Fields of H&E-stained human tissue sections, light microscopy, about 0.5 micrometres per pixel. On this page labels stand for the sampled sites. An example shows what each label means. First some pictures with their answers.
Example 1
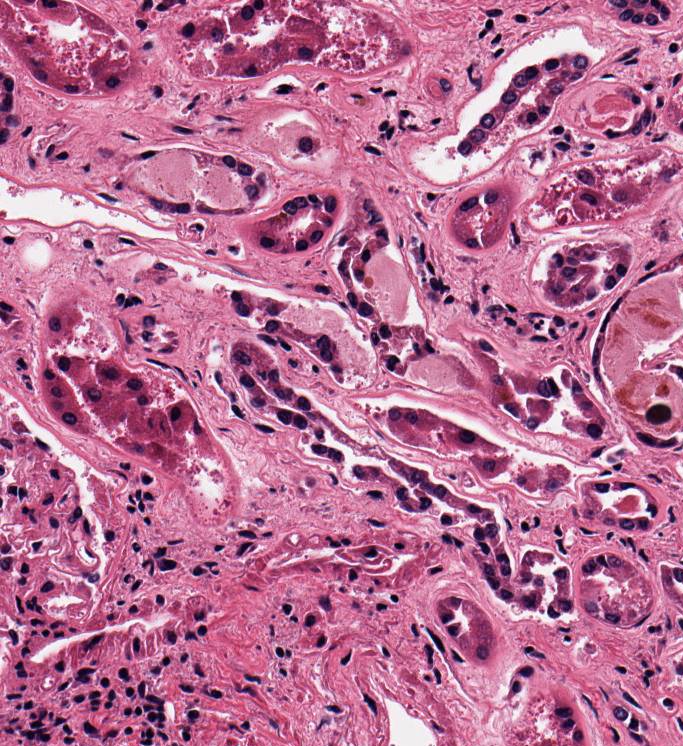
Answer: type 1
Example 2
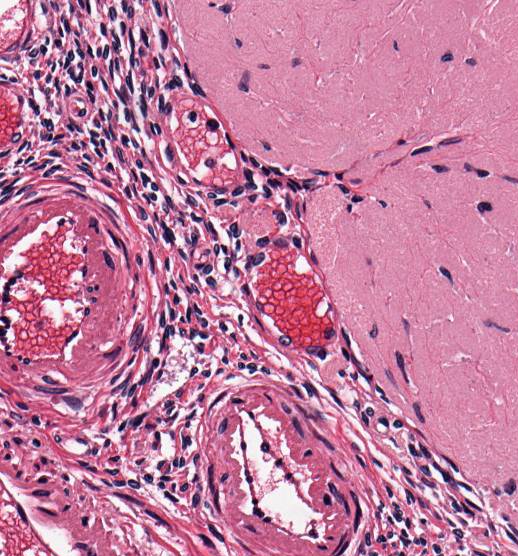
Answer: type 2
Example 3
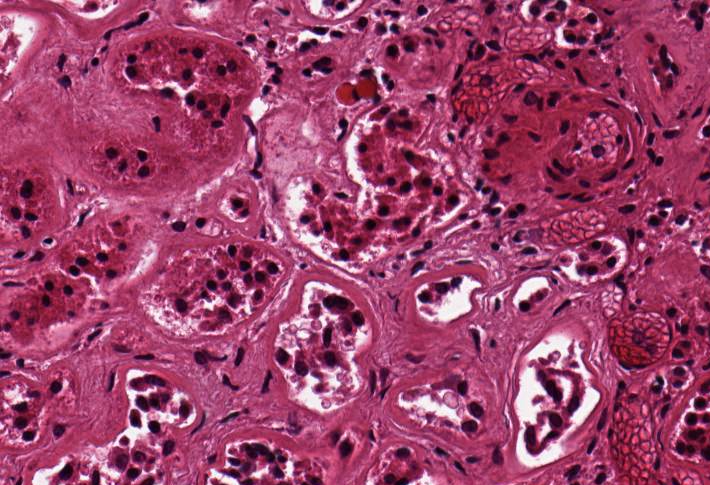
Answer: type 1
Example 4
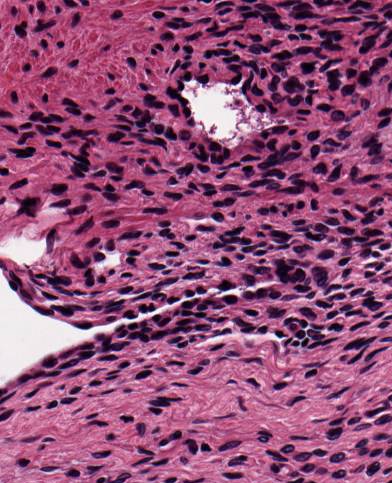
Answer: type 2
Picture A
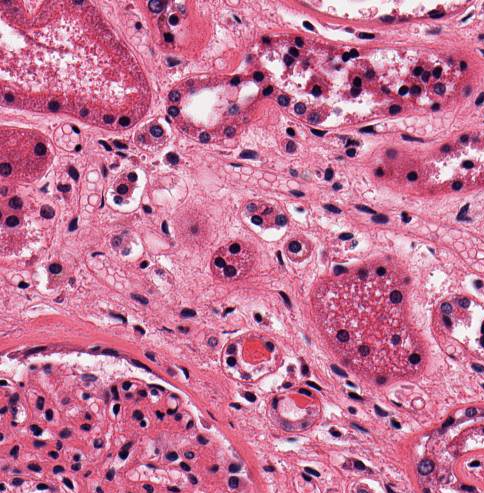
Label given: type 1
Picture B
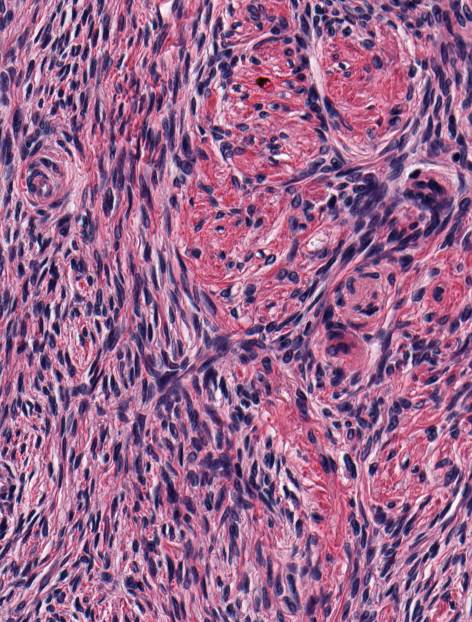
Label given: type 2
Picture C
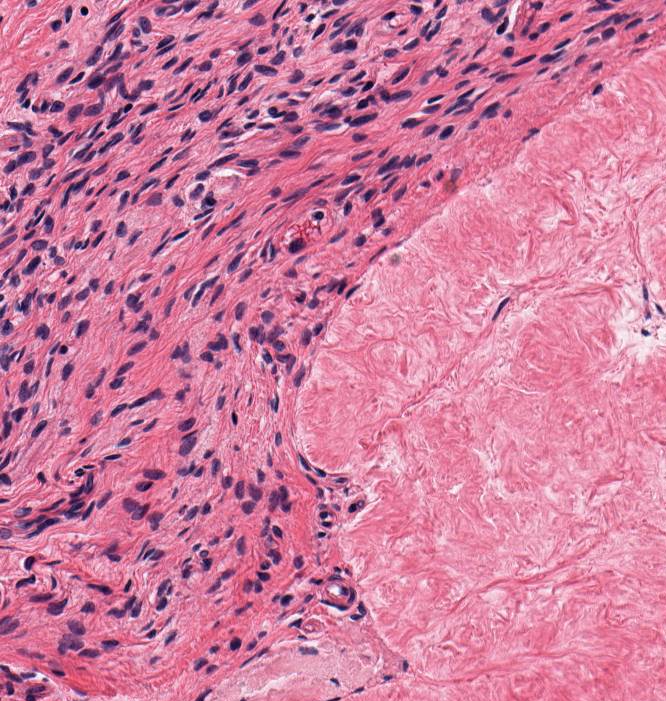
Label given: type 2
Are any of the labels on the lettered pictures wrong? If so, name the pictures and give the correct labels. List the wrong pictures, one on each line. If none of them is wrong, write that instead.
No label is wrong.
